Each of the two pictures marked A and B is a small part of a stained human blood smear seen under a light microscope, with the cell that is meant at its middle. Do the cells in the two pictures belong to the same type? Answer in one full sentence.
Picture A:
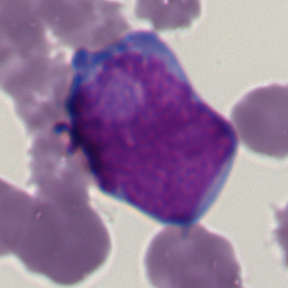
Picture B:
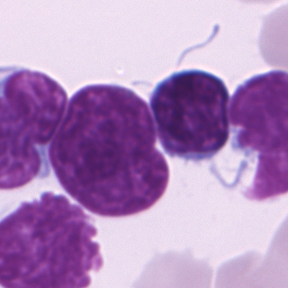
Yes; the cells in both pictures are myeloblasts.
